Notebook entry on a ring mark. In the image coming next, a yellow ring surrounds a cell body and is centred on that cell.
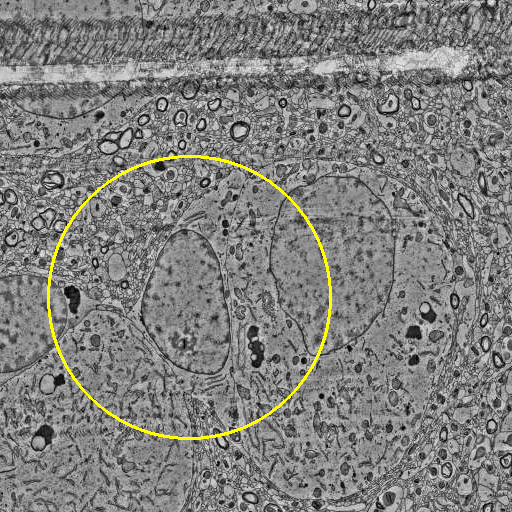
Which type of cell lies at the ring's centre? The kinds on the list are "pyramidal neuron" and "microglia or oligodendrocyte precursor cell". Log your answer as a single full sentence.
Centred in the yellow ring is a microglial cell or oligodendrocyte precursor cell, the cell recorded for this image.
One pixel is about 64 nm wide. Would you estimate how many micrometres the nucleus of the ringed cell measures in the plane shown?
Clearly longer than it is wide in this plane, the nucleus measures roughly 9 by 6 micrometres.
